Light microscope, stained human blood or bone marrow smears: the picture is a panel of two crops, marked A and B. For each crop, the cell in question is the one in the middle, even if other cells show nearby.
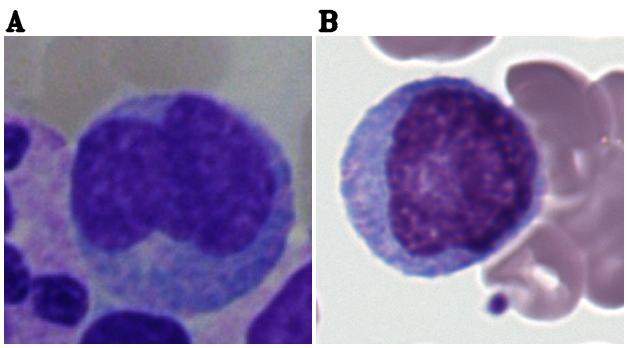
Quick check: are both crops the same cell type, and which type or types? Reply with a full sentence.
Yes, the two cells in the two crops are monocytes.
